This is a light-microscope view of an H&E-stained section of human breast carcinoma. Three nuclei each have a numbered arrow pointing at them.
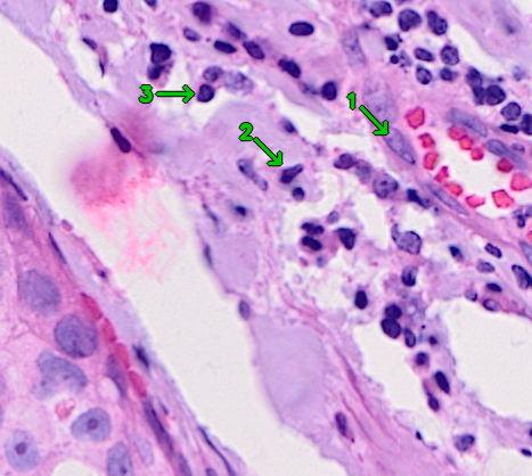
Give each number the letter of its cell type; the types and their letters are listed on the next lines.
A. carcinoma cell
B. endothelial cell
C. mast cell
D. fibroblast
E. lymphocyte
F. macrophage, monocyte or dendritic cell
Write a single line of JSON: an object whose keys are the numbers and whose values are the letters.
{"1": "B", "2": "E", "3": "E"}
